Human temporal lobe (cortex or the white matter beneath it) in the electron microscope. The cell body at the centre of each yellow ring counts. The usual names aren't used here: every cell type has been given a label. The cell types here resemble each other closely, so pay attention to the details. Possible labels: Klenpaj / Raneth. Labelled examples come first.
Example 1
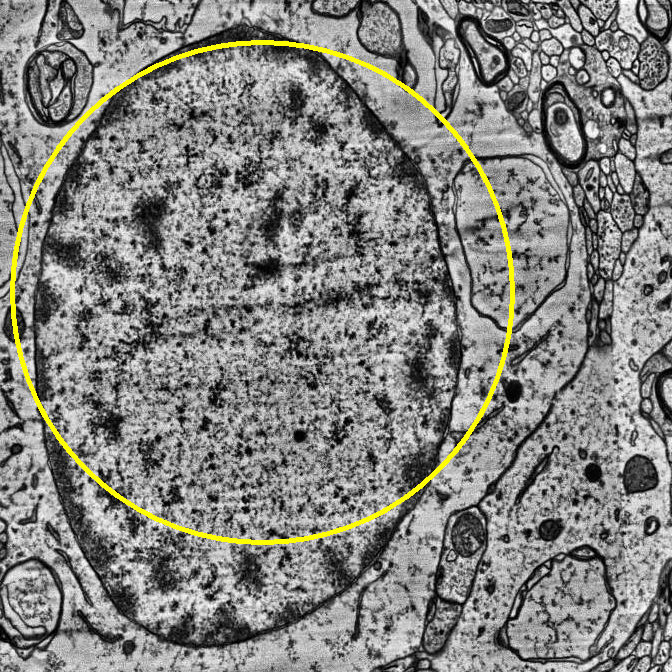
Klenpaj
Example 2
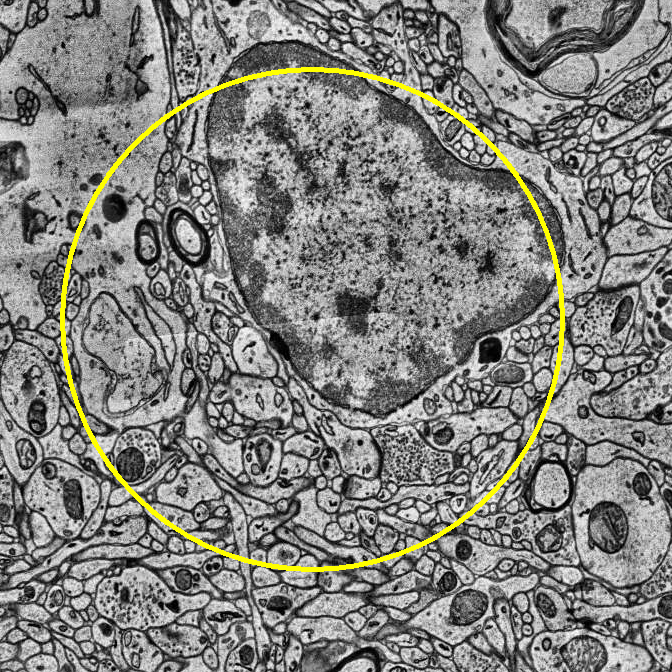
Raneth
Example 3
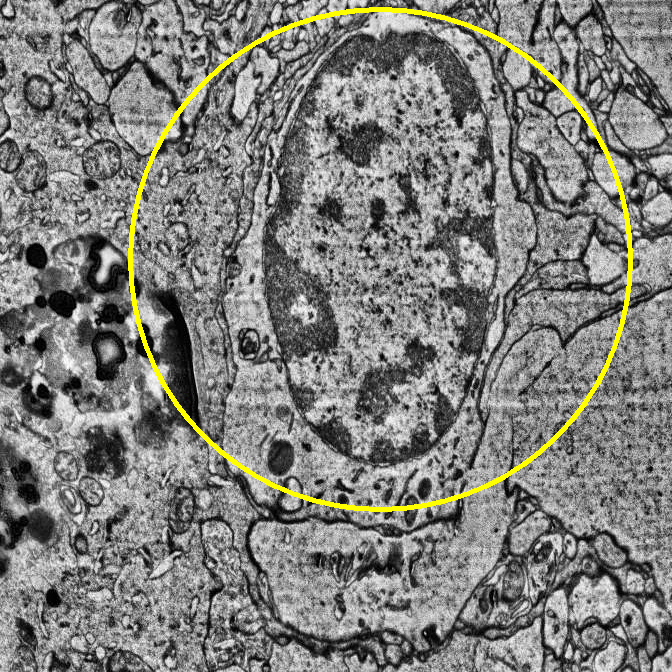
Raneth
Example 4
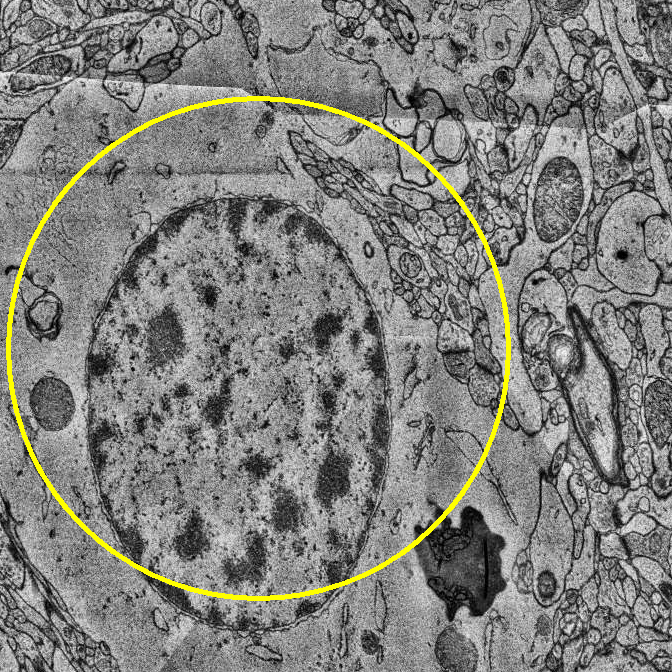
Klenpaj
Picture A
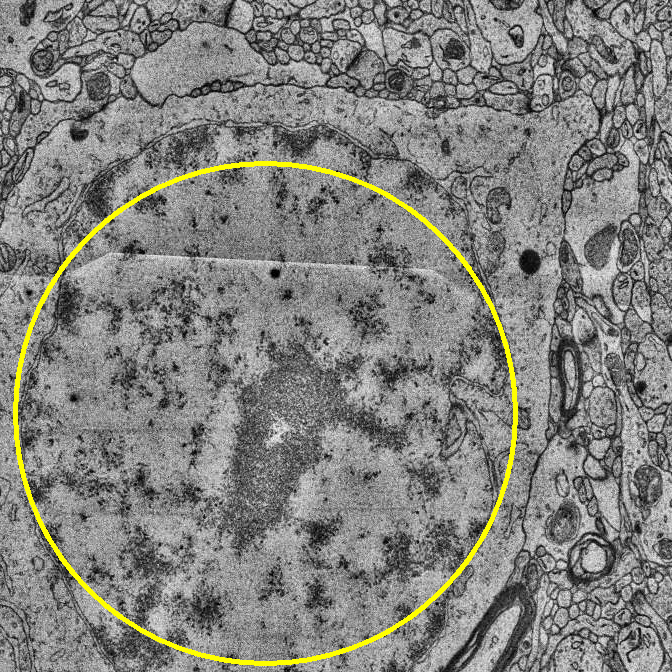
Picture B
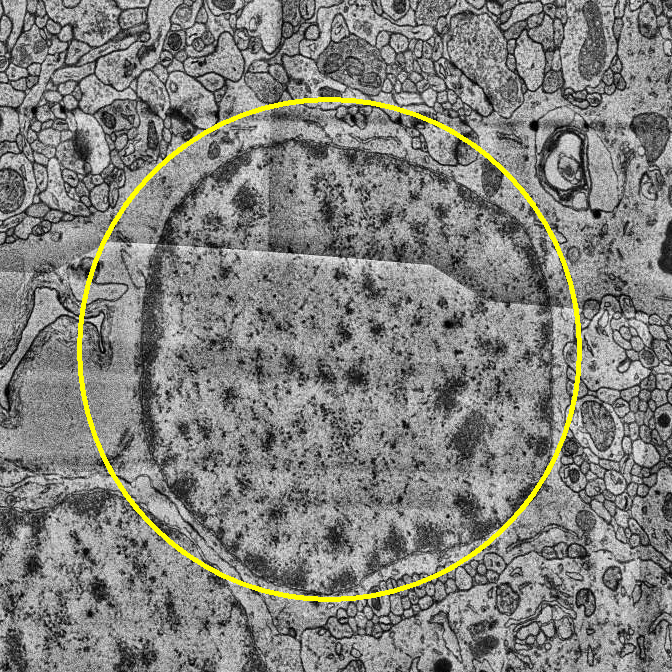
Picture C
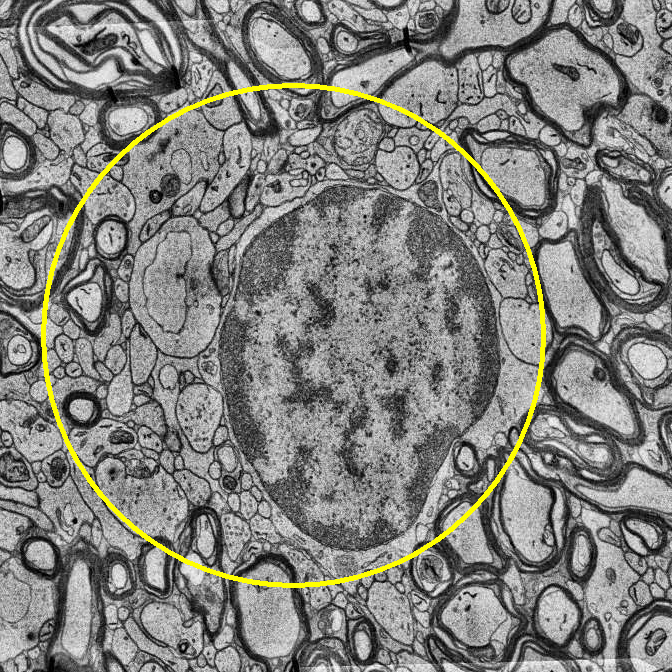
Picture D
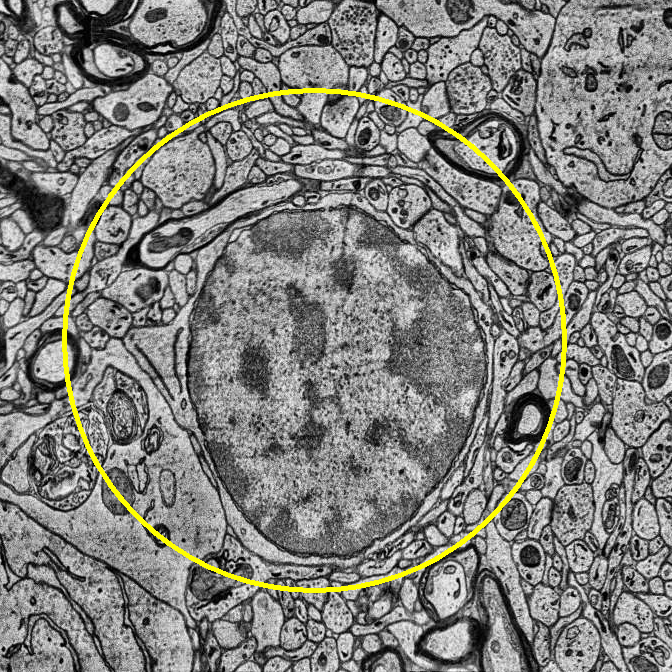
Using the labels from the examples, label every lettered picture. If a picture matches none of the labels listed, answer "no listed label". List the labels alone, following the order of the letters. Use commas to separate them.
no listed label, Klenpaj, Raneth, Raneth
